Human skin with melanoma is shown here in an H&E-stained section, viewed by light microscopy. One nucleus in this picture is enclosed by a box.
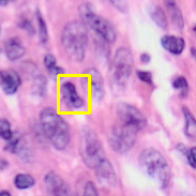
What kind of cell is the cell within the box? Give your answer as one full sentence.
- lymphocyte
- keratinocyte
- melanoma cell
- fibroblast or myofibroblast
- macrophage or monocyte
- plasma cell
The cell type of the cell within the box is that of a lymphocyte.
